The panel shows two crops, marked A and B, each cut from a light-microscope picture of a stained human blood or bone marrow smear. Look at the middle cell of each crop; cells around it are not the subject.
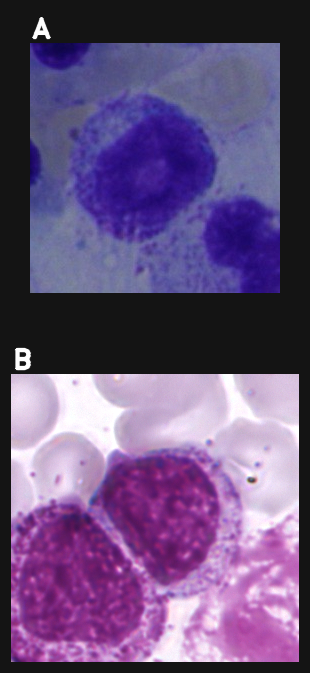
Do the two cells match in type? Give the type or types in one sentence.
Yes, as for both crops, the cells shown are myelocytes.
